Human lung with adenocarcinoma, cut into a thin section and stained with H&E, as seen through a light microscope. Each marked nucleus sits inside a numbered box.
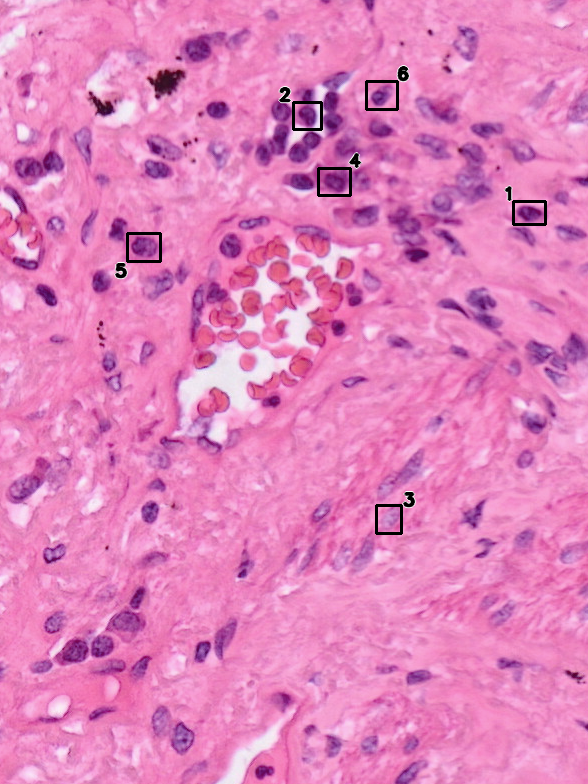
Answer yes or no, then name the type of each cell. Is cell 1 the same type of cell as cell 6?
No, cell 1 is a plasma cell and cell 6 is a lymphocyte.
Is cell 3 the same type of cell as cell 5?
No, cell 3 is a smooth muscle cell or pericyte and cell 5 is a plasma cell.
